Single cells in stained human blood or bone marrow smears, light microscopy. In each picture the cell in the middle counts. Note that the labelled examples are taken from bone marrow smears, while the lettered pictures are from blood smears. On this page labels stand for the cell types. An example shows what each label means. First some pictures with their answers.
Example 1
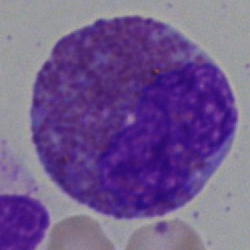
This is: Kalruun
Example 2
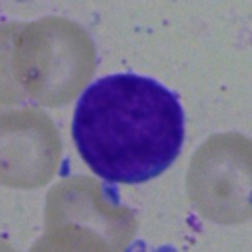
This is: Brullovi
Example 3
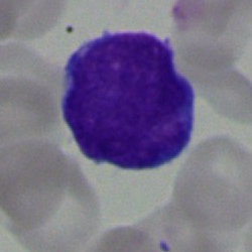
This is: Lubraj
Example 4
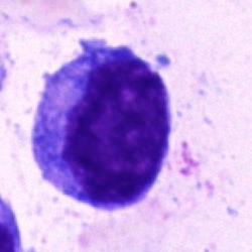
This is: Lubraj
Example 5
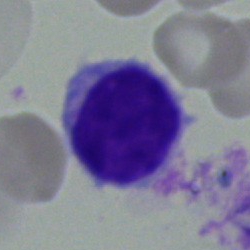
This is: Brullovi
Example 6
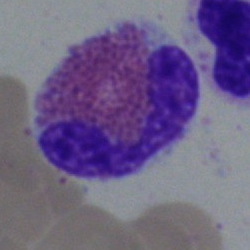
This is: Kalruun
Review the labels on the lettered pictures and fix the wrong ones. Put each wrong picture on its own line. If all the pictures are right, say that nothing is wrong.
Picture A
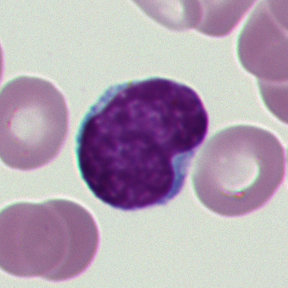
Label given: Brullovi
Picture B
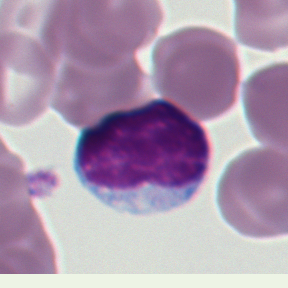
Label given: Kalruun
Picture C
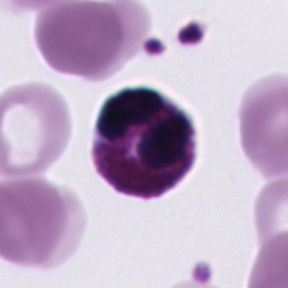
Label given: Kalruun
B is labelled Kalruun; correct label: Brullovi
